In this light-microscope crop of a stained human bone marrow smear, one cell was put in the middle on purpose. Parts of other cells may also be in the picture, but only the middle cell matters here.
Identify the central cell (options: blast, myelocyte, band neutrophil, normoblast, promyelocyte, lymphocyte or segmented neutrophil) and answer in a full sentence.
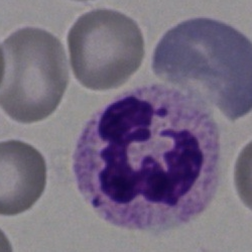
This crop's central cell is a segmented neutrophil.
